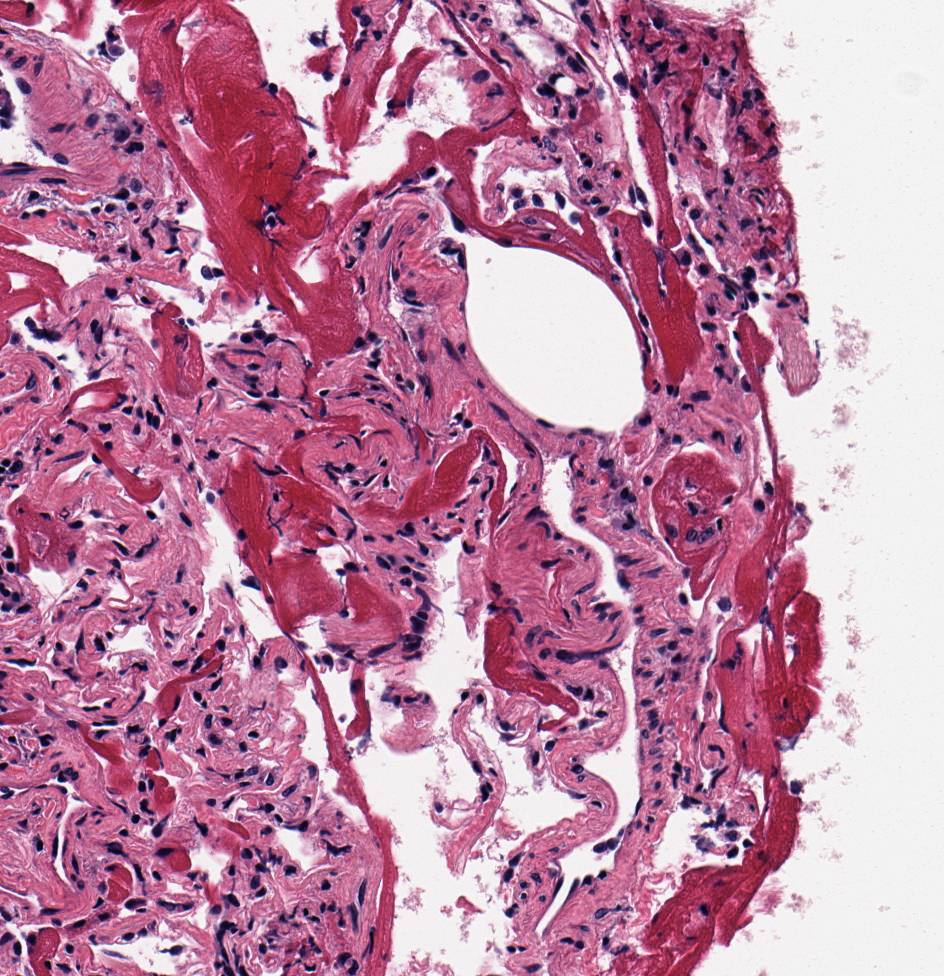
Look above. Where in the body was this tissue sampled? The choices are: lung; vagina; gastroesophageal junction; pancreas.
lung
